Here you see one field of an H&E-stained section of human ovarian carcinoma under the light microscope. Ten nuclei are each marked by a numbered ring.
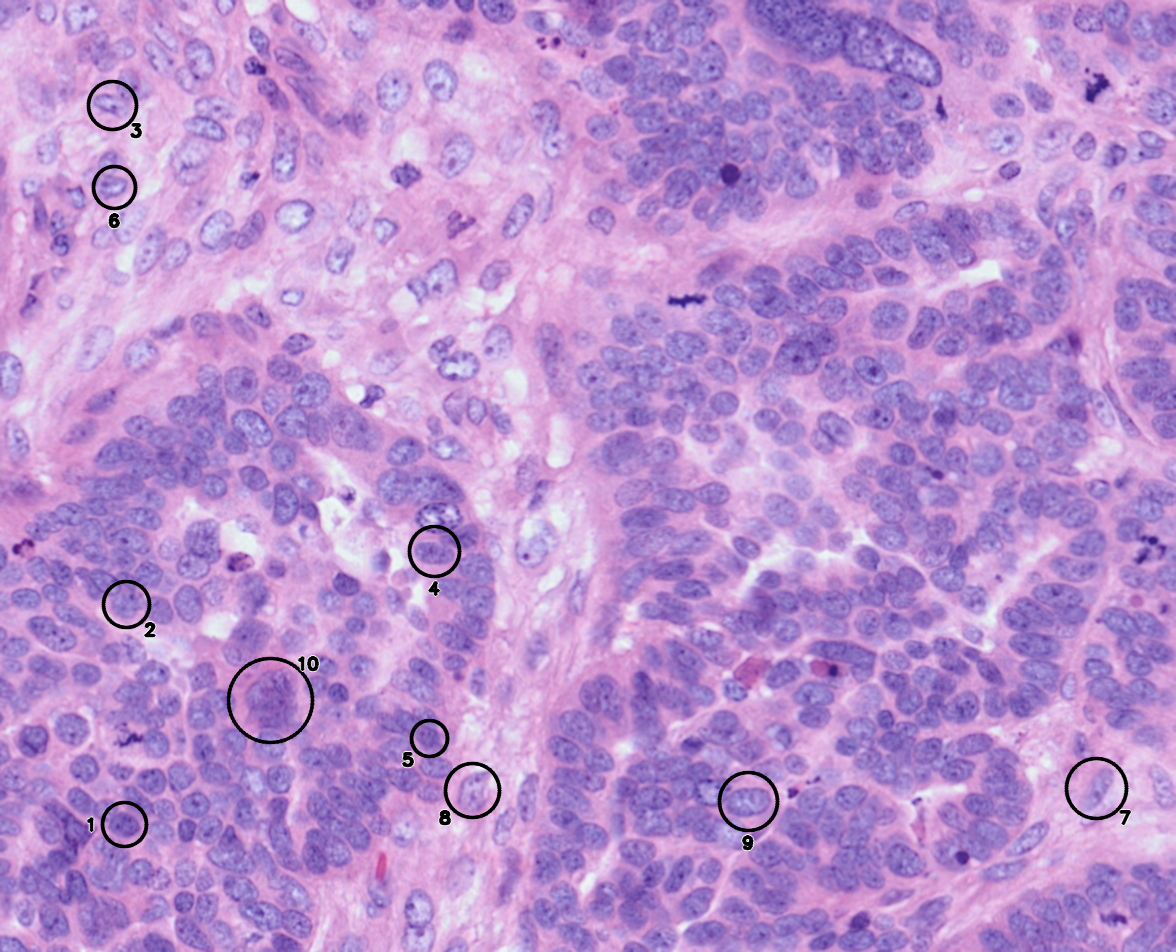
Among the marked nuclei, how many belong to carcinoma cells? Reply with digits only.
6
